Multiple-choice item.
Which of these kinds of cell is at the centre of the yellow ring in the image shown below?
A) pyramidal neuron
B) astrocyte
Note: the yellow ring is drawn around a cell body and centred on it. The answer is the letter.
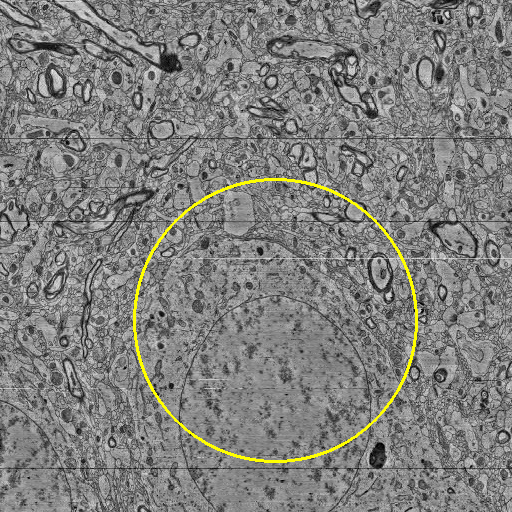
A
